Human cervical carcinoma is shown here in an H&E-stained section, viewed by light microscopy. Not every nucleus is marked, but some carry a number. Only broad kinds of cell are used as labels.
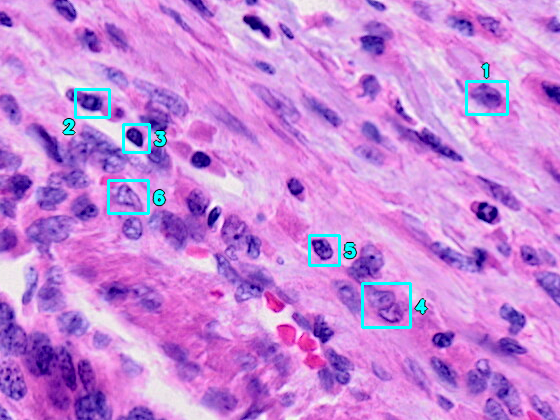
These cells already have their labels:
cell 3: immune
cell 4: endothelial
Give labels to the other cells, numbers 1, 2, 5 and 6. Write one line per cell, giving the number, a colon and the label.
1: immune
2: immune
5: immune
6: endothelial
